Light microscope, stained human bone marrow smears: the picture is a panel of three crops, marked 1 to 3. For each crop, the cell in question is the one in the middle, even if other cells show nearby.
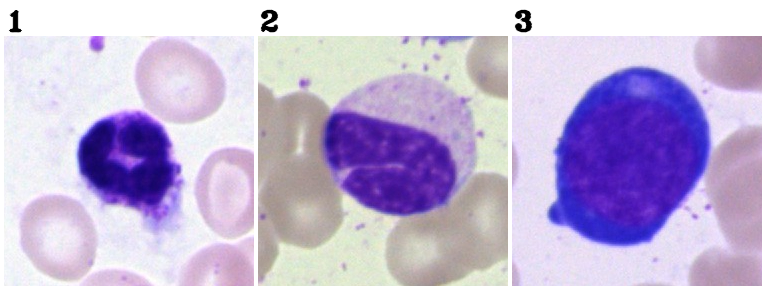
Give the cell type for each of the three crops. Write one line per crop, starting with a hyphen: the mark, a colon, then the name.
- 1: segmented neutrophil
- 2: band neutrophil
- 3: proerythroblast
